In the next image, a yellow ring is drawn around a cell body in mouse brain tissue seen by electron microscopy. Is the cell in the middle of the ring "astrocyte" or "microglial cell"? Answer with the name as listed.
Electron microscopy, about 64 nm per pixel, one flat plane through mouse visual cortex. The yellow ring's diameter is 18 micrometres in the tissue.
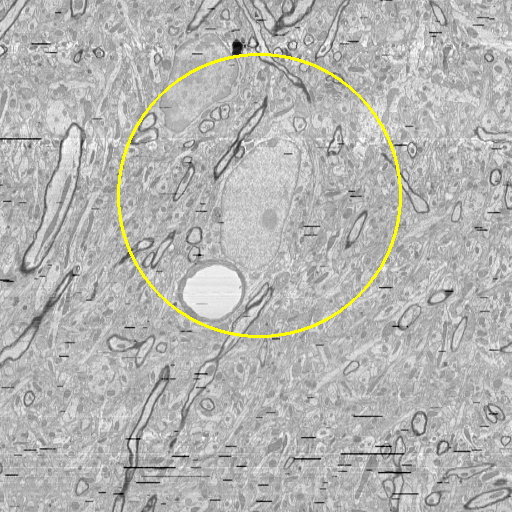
astrocyte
